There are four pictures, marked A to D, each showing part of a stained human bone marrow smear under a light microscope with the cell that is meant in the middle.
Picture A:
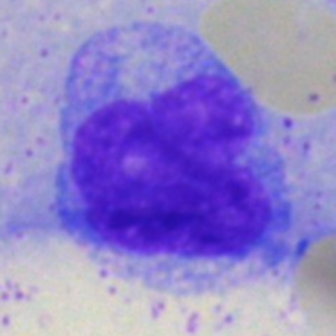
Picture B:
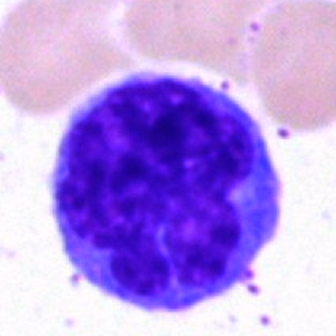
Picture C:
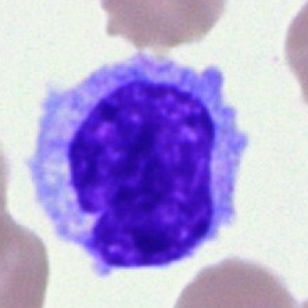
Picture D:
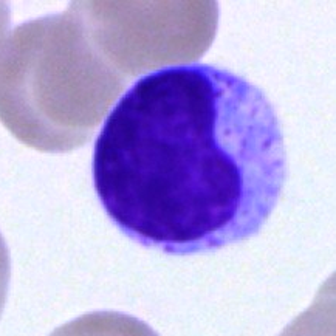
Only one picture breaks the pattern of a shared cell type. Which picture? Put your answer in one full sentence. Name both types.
All pictures except D show monocytes; picture D shows a lymphocyte.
